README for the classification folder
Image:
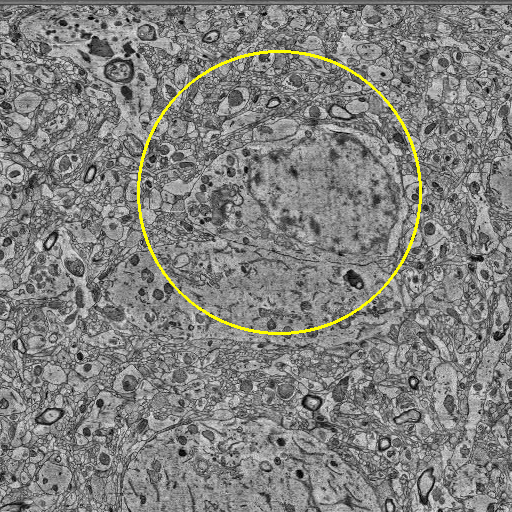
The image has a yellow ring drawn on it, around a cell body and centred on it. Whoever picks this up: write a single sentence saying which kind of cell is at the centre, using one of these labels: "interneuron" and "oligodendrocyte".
This cell body is that of an interneuron.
